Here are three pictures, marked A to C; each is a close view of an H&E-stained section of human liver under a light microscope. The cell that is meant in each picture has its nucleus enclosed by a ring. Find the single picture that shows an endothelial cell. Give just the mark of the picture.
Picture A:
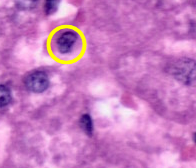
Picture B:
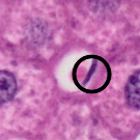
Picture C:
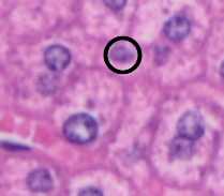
B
